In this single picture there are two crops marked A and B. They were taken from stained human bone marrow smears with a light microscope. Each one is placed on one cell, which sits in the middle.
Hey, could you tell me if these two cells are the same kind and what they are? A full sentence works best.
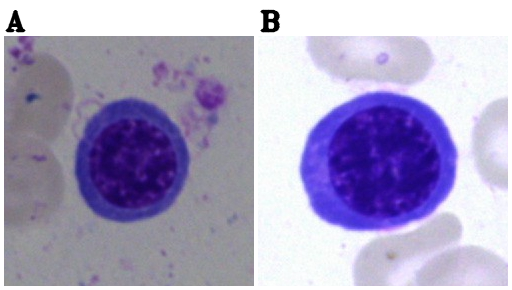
Yes, both crops have erythroblasts as their central cells.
